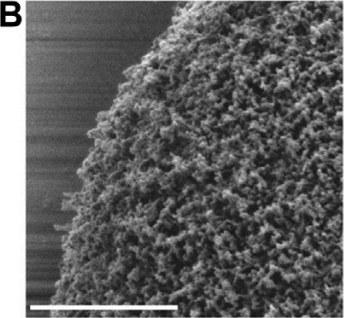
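The microvilli are short, finger-like projections packed closely side by side, many bent or clustered, so that the surface has a spongy, irregular texture. Toward the edge of the cell the projections are seen more in profile against the dark background.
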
